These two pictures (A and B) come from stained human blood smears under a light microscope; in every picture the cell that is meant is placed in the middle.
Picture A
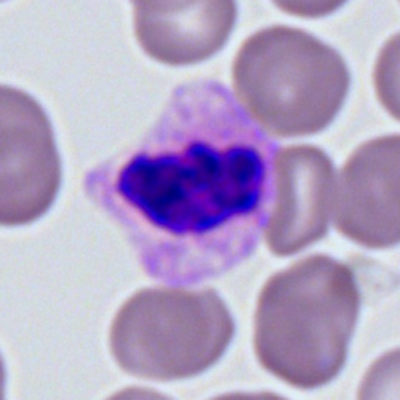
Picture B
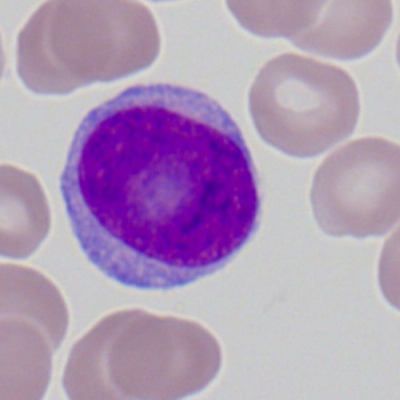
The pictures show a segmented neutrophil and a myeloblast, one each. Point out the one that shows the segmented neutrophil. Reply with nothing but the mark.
A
